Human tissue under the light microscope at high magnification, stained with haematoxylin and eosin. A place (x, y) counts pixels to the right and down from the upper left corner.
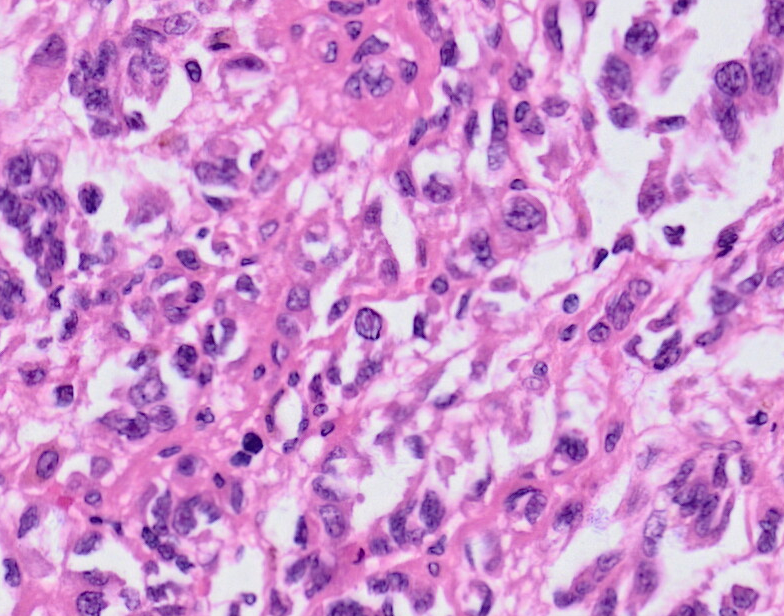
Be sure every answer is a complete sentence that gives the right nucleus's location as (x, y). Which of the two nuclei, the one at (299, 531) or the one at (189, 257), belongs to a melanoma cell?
Of the two, the nucleus at (299, 531) is the one contained in a melanoma cell.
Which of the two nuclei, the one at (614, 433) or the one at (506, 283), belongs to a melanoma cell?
Of these two nuclei, it is the one at (506, 283) that belongs to a melanoma cell.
